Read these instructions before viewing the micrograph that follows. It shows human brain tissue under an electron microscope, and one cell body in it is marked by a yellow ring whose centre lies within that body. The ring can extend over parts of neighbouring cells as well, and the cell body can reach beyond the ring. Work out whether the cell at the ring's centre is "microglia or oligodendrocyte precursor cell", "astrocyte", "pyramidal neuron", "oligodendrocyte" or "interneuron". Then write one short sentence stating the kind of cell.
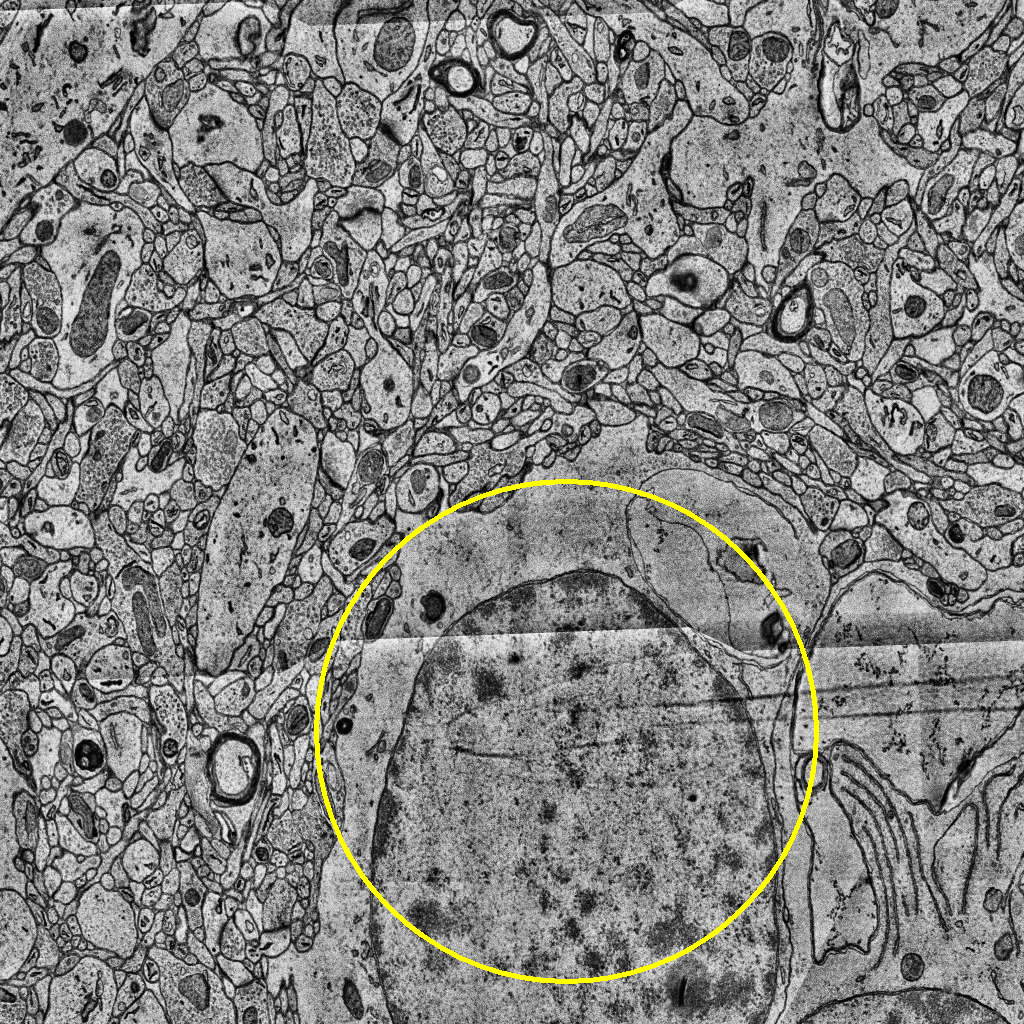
The cell at the ring's centre is an astrocyte.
